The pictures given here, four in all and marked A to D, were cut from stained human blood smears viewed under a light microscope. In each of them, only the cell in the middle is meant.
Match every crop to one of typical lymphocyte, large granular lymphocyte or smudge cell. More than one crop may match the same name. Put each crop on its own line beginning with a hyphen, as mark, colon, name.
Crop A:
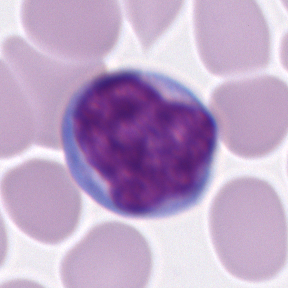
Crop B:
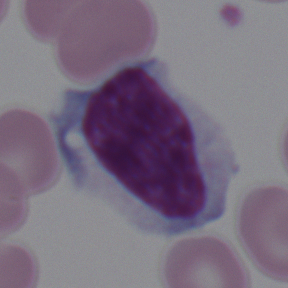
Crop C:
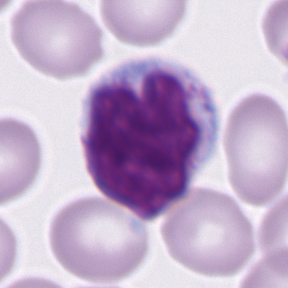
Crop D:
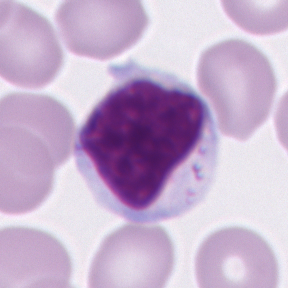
- A: typical lymphocyte
- B: typical lymphocyte
- C: large granular lymphocyte
- D: large granular lymphocyte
